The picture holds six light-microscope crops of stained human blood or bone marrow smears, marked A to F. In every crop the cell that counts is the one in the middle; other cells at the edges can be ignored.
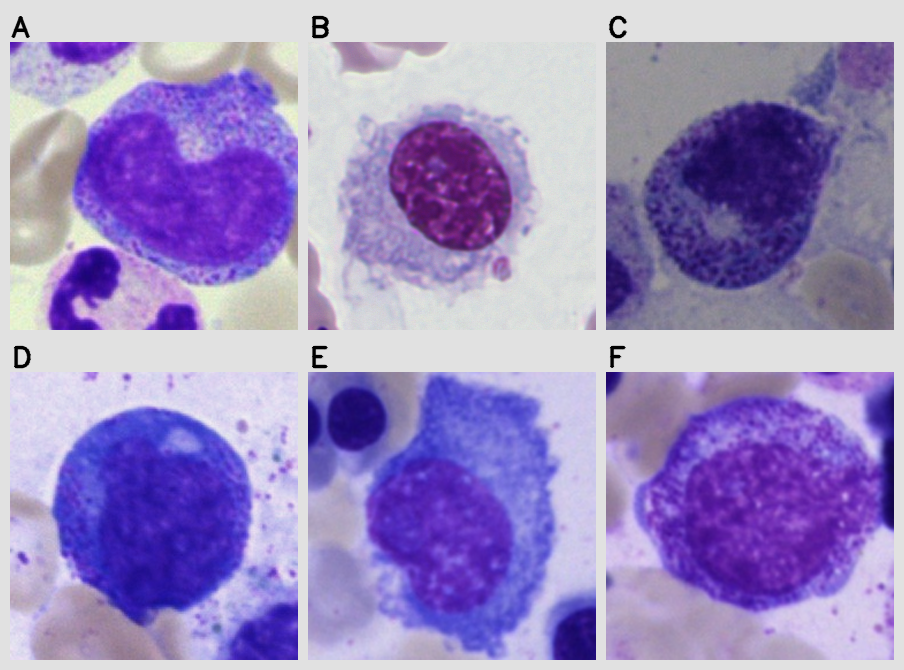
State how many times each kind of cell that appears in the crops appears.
promyelocyte: 4
plasma cell: 2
